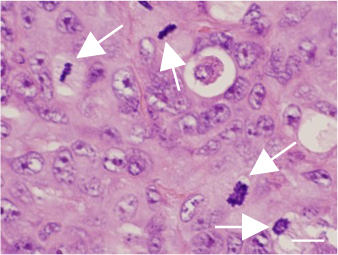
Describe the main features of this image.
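This is a tumor composed of densely packed, large epithelial-like cells with pink cytoplasm and large, round to oval, pale vesicular nuclei, many with a visible nucleolus. Several cells contain dark purple, condensed chromatin masses without a nuclear membrane, which are mitotic figures. Small clear round spaces lie between some cells. The cells grow in solid sheets without an organized glandular pattern.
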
